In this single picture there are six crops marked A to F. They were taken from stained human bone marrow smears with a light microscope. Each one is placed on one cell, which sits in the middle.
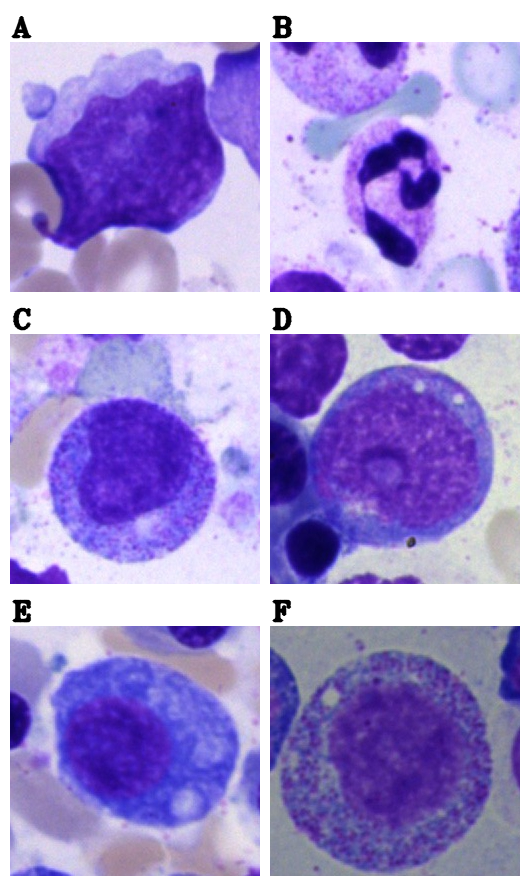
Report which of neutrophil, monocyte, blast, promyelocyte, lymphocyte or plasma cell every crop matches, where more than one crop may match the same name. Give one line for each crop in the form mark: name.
A: blast
B: neutrophil
C: promyelocyte
D: blast
E: plasma cell
F: promyelocyte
